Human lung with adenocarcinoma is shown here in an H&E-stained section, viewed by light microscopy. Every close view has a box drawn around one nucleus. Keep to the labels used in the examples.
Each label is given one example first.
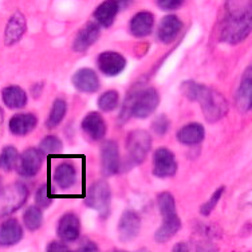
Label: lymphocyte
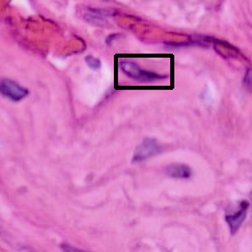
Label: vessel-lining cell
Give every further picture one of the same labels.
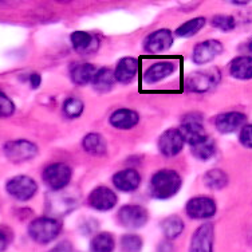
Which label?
lymphocyte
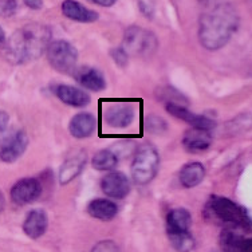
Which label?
lymphocyte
